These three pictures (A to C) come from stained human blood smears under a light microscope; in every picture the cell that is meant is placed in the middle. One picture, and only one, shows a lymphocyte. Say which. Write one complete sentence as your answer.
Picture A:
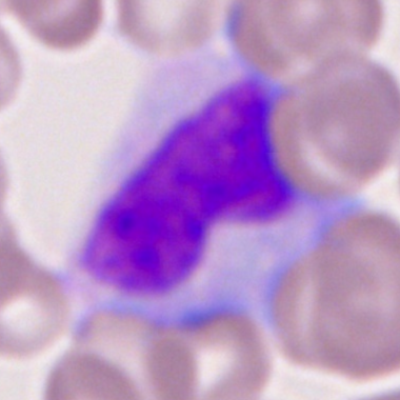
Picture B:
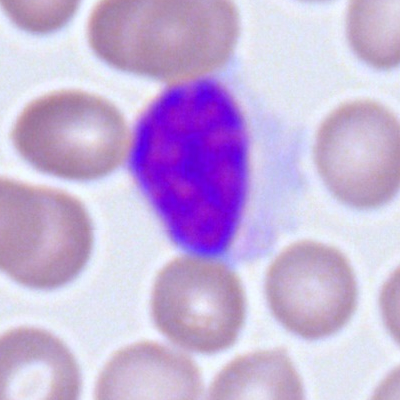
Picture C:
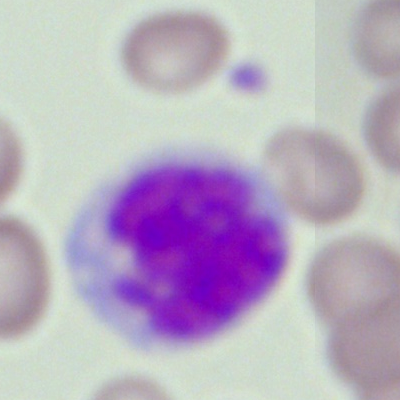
The lymphocyte is the one in picture B.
